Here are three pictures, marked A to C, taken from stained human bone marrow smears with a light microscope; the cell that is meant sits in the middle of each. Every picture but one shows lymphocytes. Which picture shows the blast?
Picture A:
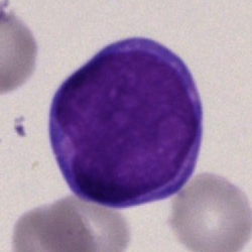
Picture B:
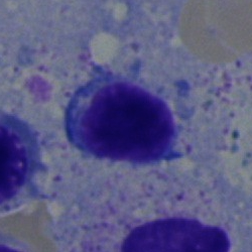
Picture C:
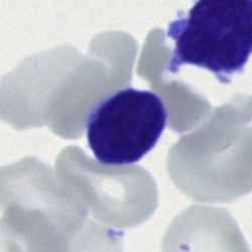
A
